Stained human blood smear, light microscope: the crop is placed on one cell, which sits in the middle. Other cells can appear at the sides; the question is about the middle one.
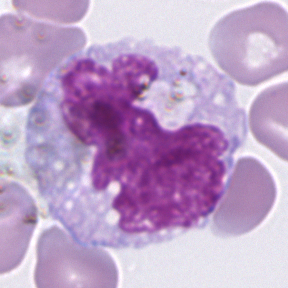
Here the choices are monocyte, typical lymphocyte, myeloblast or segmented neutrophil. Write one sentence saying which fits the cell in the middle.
For this crop, the central cell is a monocyte.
